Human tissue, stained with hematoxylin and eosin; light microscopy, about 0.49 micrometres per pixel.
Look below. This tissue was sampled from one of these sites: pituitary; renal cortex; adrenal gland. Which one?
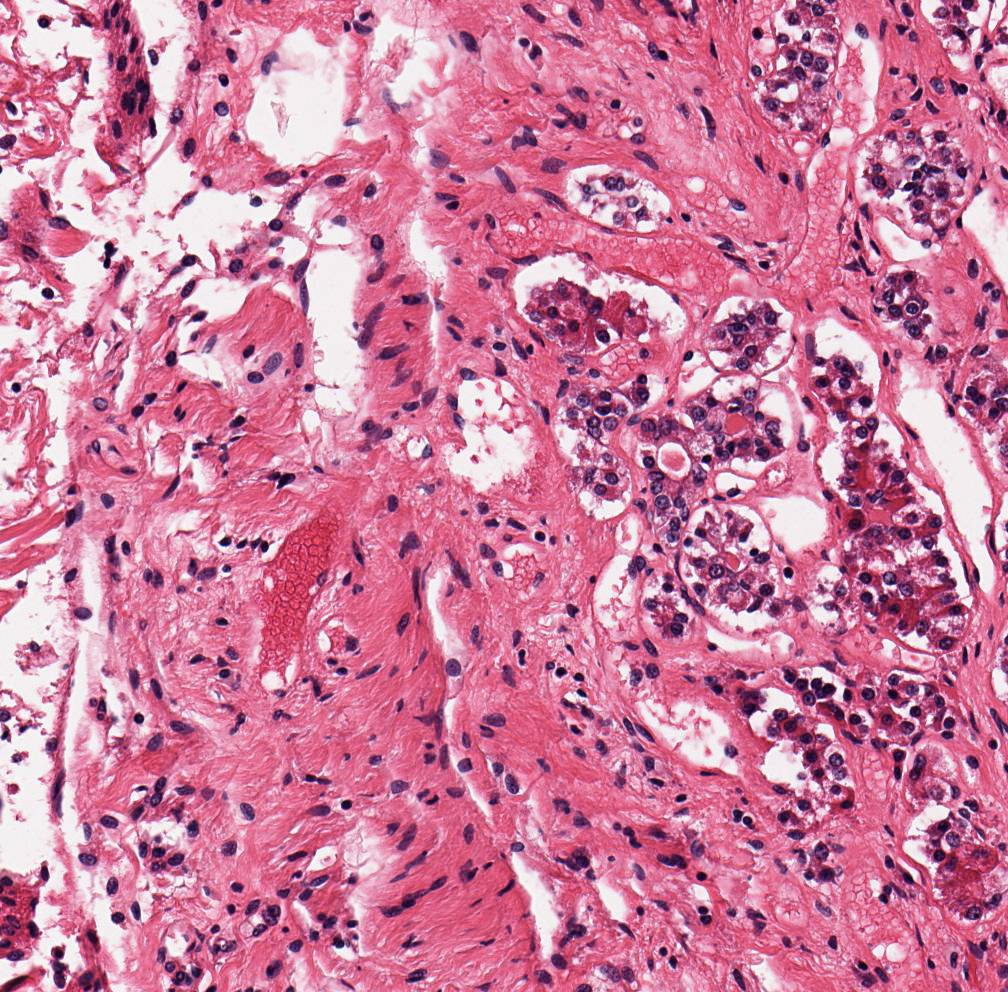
pituitary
